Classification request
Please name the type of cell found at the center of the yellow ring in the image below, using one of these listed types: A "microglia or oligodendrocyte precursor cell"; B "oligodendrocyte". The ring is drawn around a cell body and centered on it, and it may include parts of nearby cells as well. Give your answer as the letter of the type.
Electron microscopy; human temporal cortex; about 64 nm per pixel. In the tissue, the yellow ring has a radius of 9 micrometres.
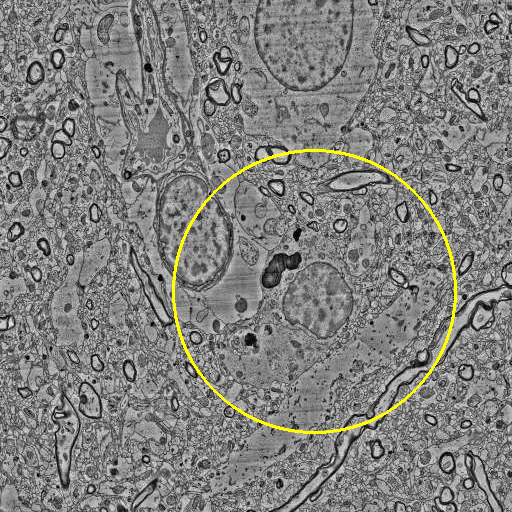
B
